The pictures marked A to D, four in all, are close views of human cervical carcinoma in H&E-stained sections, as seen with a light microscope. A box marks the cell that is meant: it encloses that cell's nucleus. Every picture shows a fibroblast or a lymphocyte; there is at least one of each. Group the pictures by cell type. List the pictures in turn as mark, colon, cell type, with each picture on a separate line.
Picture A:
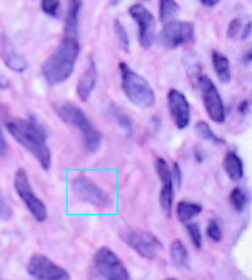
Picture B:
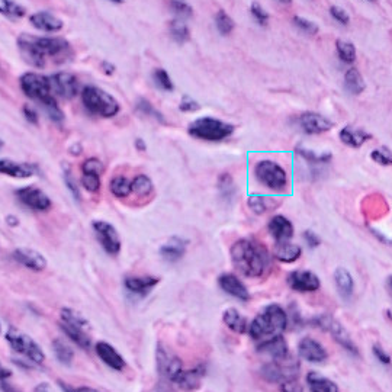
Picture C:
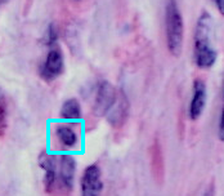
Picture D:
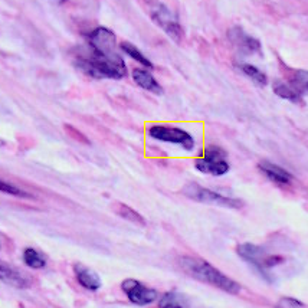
A: fibroblast
B: lymphocyte
C: lymphocyte
D: lymphocyte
